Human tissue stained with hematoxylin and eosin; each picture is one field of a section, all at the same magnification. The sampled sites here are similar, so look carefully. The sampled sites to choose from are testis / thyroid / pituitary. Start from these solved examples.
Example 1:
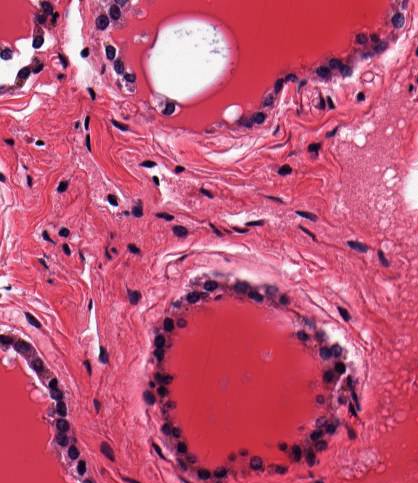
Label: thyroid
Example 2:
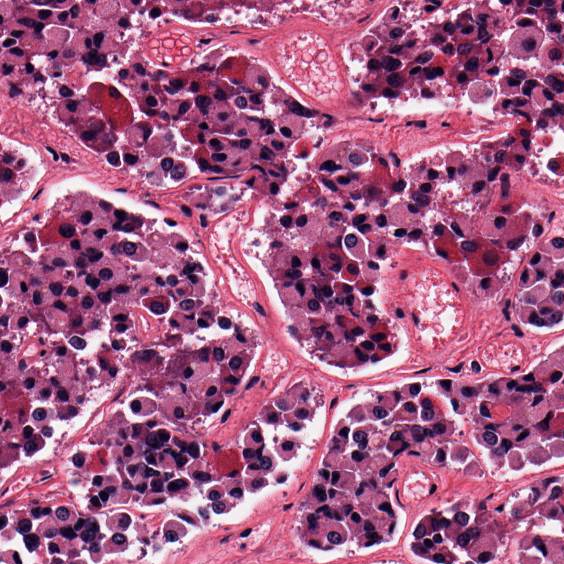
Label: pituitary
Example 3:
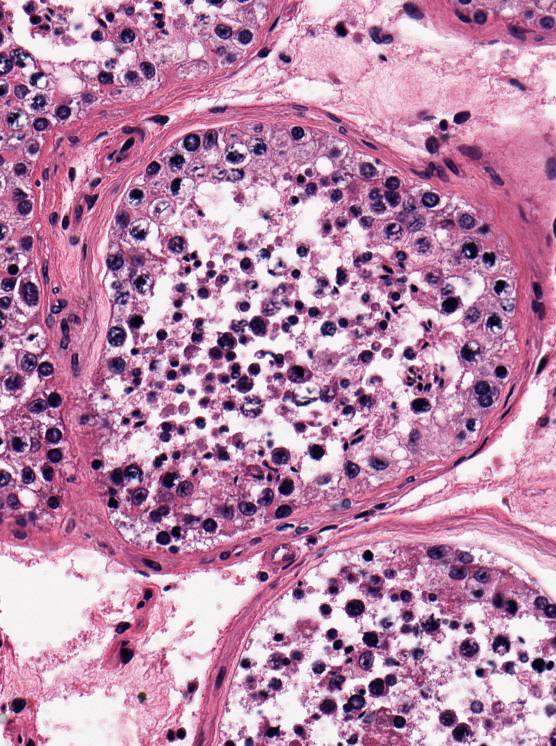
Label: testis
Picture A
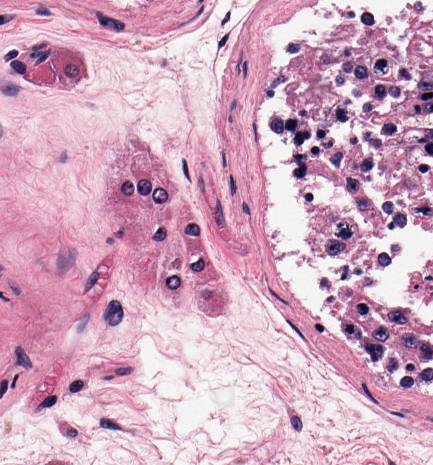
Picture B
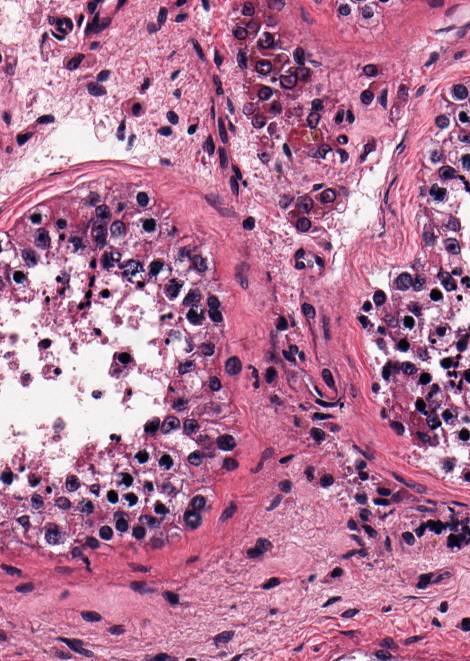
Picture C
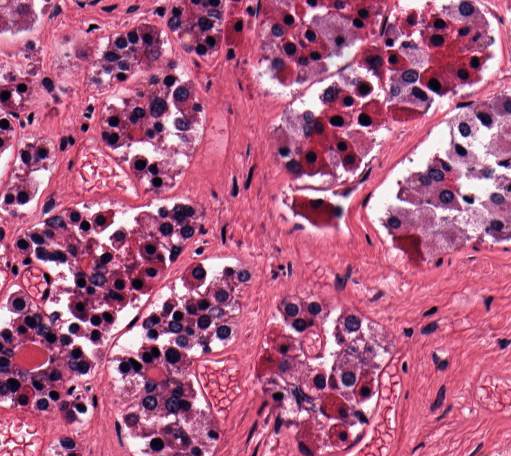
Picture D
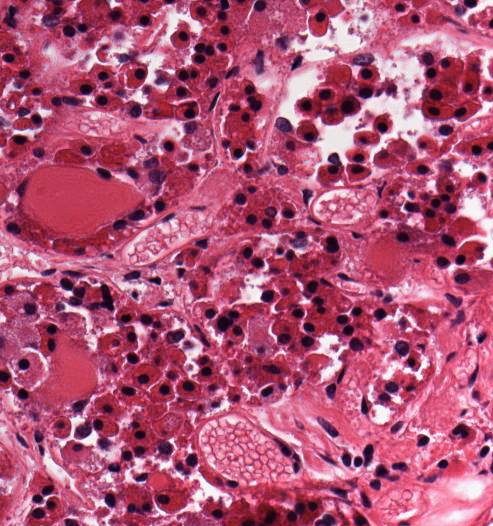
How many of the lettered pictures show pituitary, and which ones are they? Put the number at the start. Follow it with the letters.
Count: 2 (C, D)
